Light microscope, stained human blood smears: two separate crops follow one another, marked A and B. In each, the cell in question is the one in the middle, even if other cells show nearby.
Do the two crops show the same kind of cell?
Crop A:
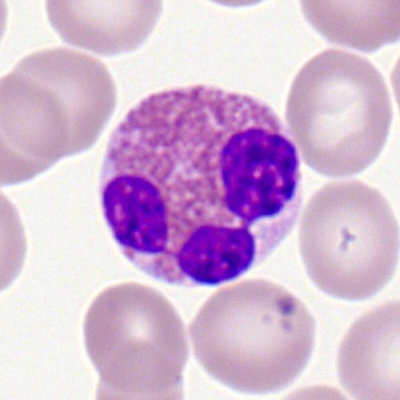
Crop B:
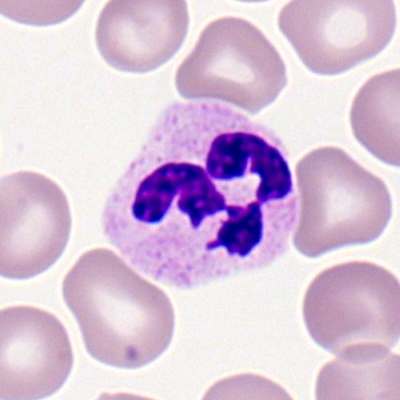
no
